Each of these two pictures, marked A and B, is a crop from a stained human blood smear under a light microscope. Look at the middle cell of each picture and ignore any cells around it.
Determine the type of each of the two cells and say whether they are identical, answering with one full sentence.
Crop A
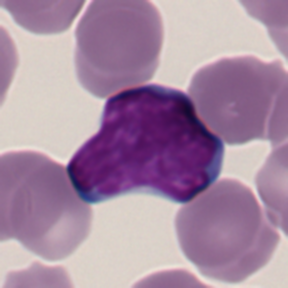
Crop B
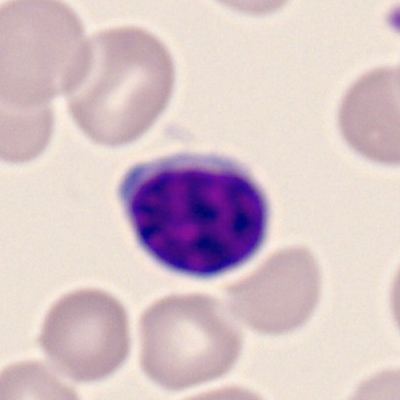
Yes, the cells found in the middle of both crops are lymphocytes.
